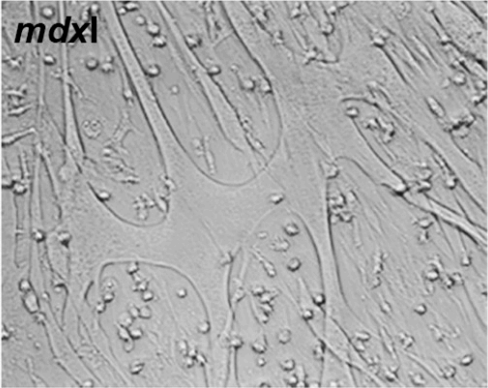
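Cultured muscle fibers seen unstained in relief contrast, broader than thin strands and lying in loosely parallel or curving tracts. Small round refractile cells lie scattered over the fibers, some gathered in clusters.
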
